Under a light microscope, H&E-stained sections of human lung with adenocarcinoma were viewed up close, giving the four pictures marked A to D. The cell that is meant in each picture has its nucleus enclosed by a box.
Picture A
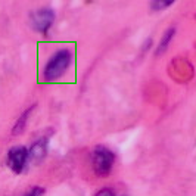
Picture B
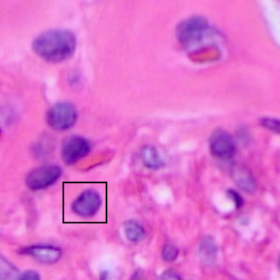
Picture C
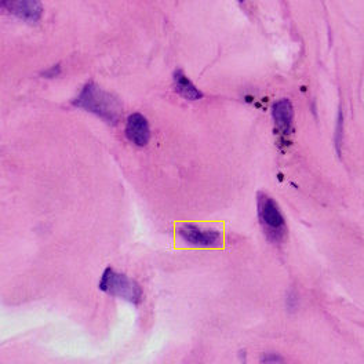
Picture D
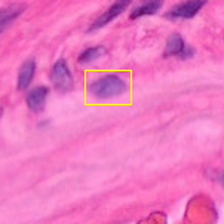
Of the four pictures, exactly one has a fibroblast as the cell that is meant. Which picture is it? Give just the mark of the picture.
C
